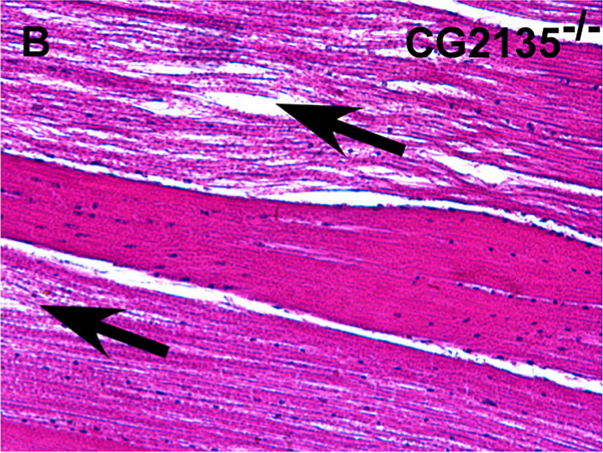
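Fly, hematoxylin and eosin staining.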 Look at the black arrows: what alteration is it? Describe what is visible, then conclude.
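Fragmented muscle fibres. At the arrows the pink fibre bundles look pale, frayed and broken into thin strands. A clear slit-like gap lies within the bundle at the upper arrow.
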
